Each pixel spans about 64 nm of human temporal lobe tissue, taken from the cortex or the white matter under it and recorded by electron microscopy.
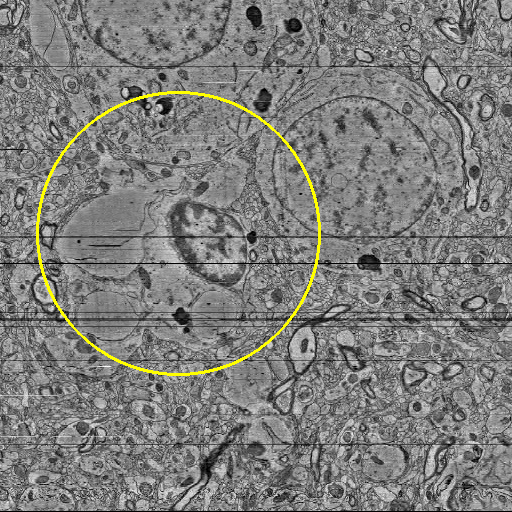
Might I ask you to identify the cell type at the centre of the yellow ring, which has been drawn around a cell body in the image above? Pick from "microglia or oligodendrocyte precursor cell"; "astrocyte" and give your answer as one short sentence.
The centre of the ring falls on a microglial cell or oligodendrocyte precursor cell.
